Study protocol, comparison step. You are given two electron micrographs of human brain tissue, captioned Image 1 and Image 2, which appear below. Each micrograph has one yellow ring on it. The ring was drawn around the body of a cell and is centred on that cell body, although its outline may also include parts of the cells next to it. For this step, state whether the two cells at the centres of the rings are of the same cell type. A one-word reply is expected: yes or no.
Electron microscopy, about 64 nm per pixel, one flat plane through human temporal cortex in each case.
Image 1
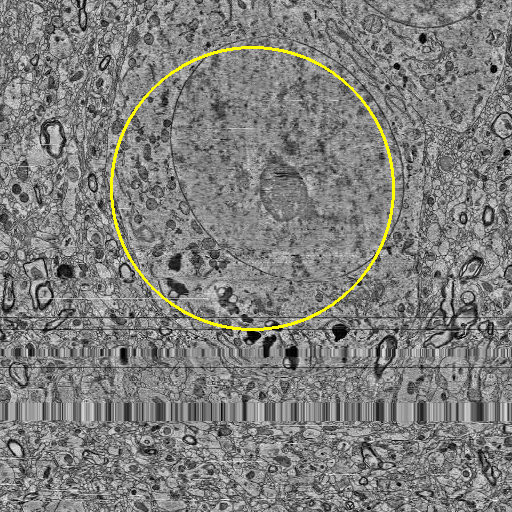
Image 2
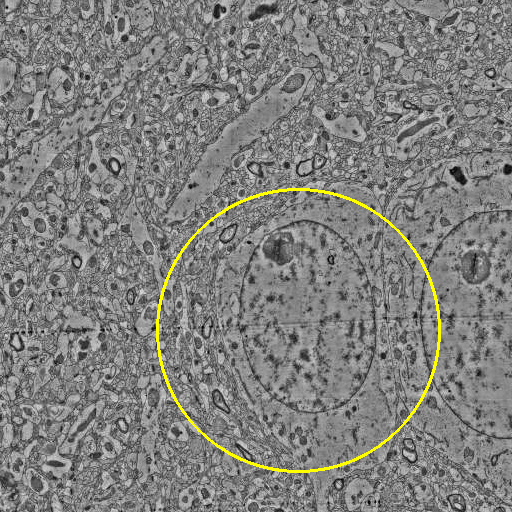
yes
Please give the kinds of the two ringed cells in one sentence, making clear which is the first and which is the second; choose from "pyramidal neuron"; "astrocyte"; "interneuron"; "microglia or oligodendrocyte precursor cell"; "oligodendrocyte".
The ring centre holds a pyramidal neuron in each of the two pictures.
